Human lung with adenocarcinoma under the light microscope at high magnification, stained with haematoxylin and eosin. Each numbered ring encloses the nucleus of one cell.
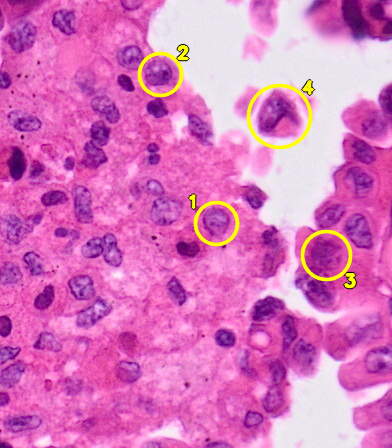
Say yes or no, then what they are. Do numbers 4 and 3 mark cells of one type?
Yes, with respect to identity, cells 4 and 3 are both carcinoma cells.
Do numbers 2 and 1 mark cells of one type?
Yes, regarding cells 2 and 1, both are macrophages or monocytes.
